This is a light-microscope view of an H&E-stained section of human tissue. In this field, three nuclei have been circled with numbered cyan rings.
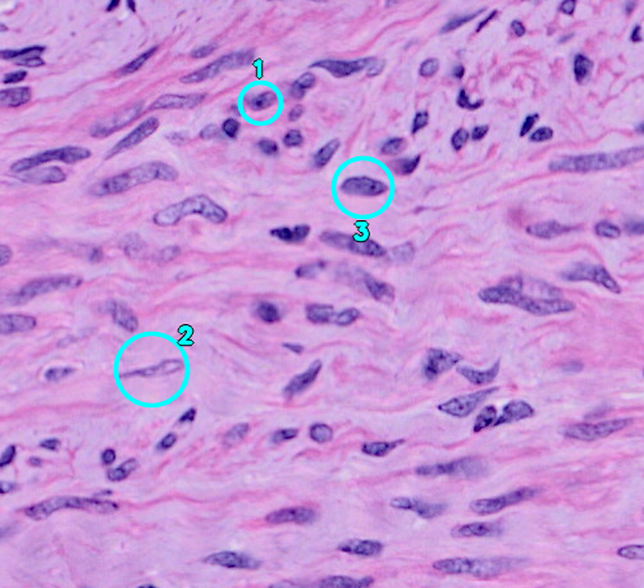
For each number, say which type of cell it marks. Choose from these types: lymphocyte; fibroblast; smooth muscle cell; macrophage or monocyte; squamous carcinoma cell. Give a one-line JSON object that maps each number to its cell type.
{"1": "smooth muscle cell", "2": "fibroblast", "3": "fibroblast"}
